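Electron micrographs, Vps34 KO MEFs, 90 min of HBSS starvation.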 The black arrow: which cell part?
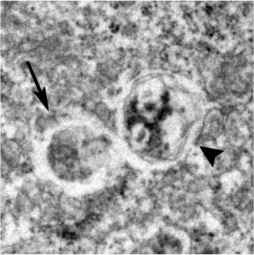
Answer: autophagosomes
